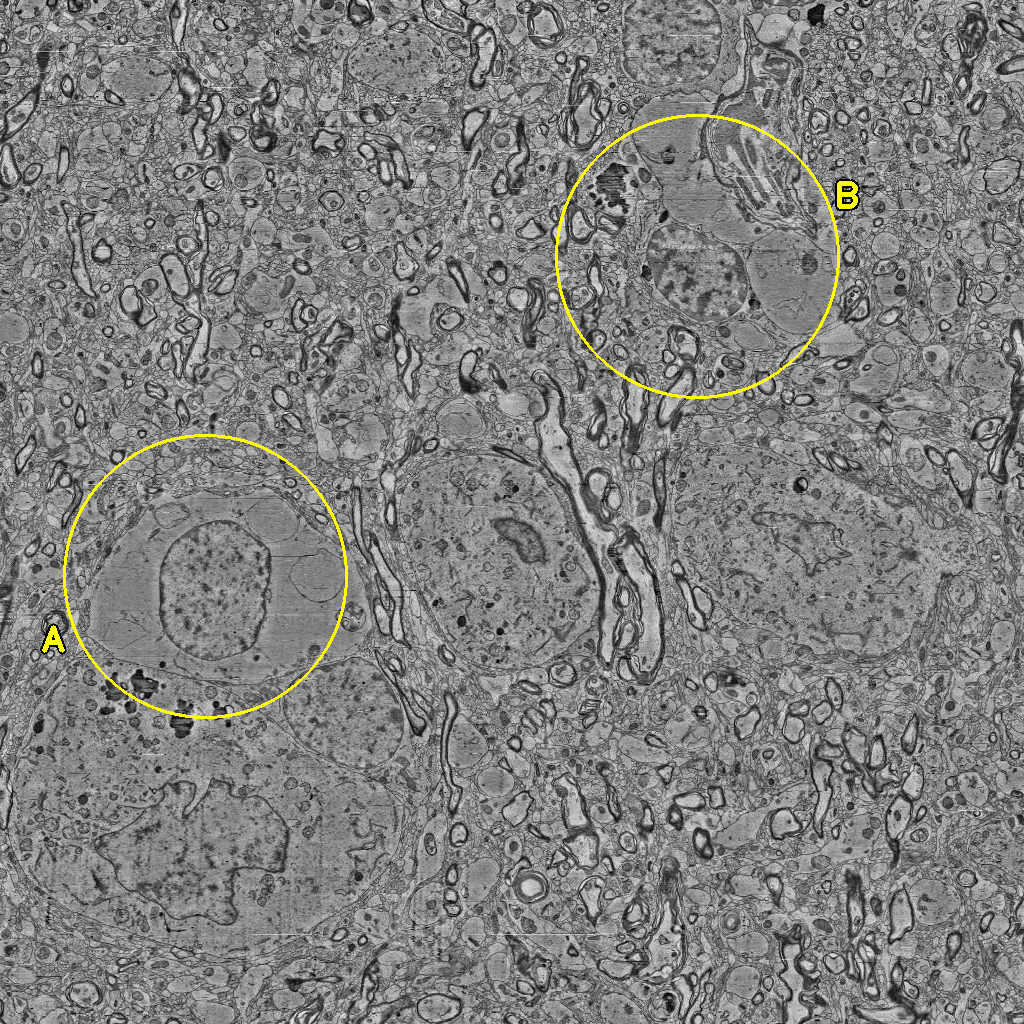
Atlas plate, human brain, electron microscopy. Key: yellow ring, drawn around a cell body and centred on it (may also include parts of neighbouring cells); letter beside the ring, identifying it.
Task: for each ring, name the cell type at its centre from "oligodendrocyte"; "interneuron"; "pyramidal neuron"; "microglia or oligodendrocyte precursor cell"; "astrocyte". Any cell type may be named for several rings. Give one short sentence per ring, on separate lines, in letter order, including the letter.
Ring A is centred over an astrocyte.
Ring B is centred over a microglial cell or oligodendrocyte precursor cell.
